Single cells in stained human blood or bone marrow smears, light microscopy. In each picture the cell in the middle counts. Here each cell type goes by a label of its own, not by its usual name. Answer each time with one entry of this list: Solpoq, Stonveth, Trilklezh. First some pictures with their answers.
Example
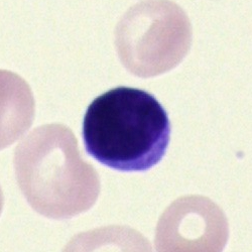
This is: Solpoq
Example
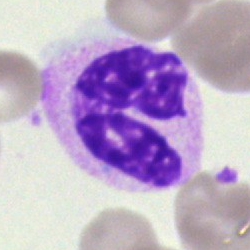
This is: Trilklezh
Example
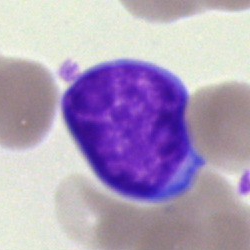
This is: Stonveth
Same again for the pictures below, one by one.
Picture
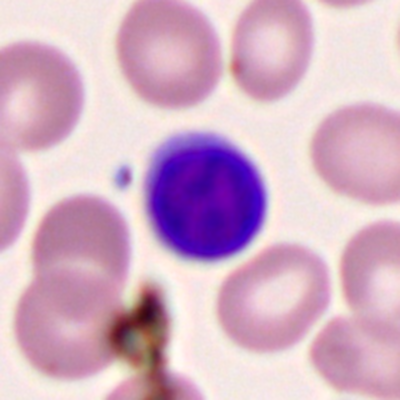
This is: Solpoq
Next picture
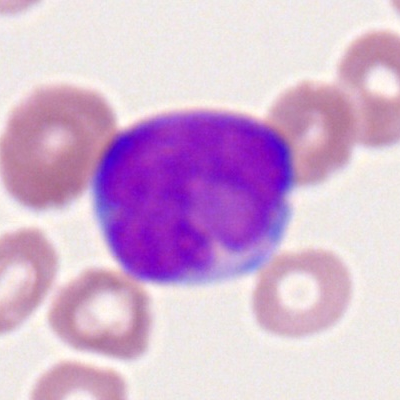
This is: Stonveth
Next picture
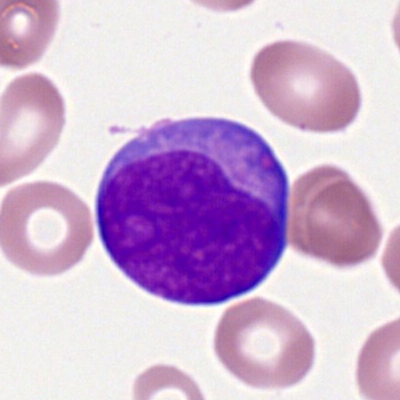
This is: Stonveth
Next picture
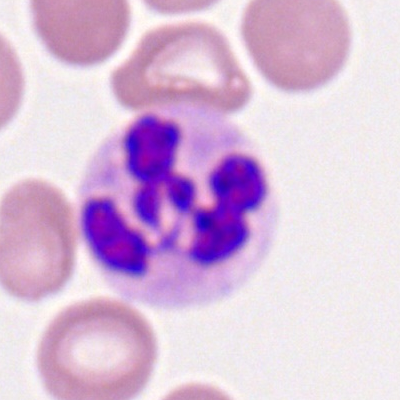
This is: Trilklezh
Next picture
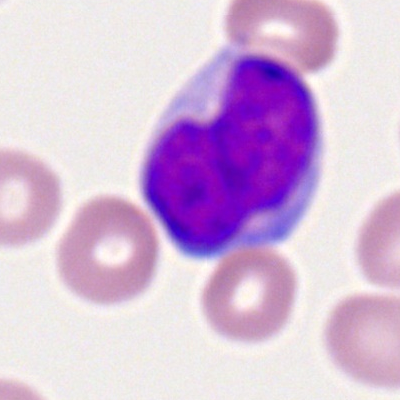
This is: Stonveth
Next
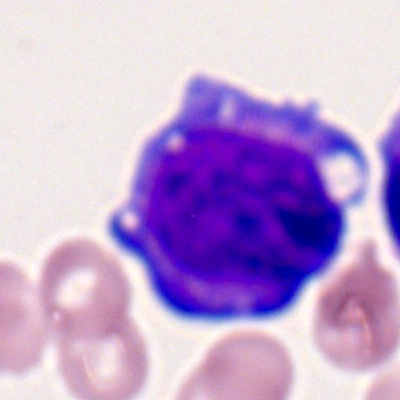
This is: Stonveth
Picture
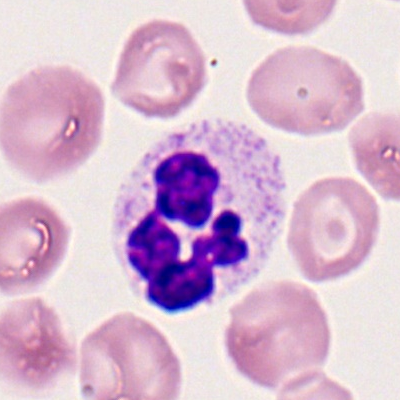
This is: Trilklezh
